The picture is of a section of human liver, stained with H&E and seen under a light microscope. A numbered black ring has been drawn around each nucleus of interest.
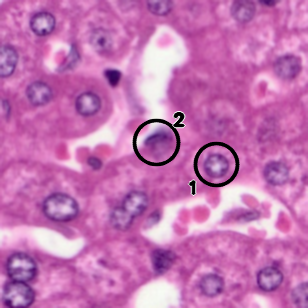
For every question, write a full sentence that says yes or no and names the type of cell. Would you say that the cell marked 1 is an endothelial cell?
No, cell 1 isn't an endothelial cell; it's a hepatocyte.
